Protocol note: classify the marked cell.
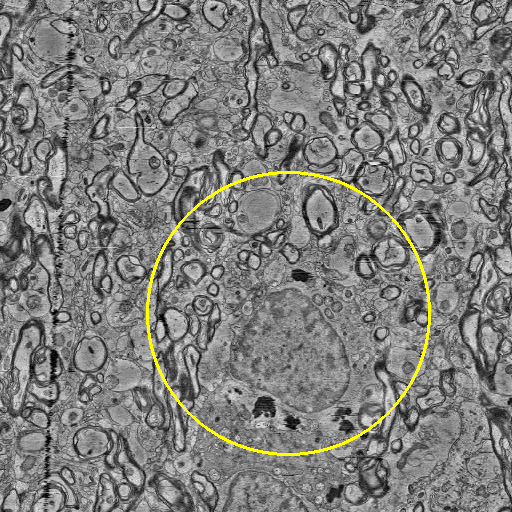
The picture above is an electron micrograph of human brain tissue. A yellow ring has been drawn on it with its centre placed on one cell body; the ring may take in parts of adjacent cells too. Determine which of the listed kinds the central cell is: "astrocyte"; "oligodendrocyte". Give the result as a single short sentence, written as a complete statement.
The central cell is an oligodendrocyte.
